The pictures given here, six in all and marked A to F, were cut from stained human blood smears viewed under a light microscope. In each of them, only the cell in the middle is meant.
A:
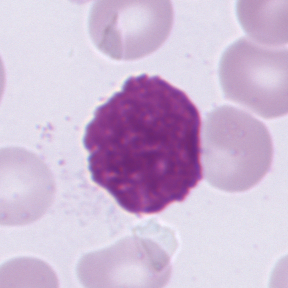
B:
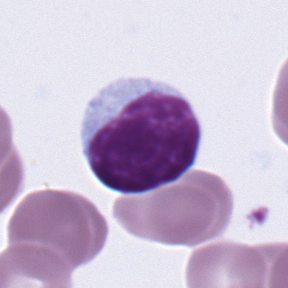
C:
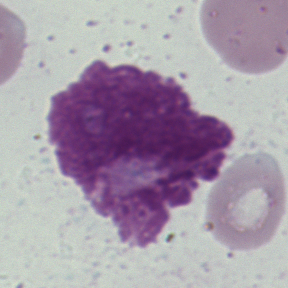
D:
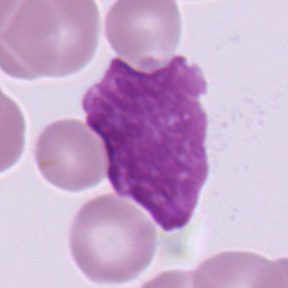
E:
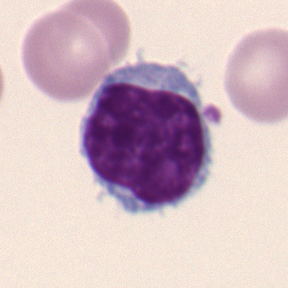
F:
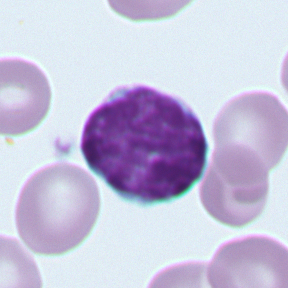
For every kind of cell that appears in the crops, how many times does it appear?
smudge cell: 3
typical lymphocyte: 3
